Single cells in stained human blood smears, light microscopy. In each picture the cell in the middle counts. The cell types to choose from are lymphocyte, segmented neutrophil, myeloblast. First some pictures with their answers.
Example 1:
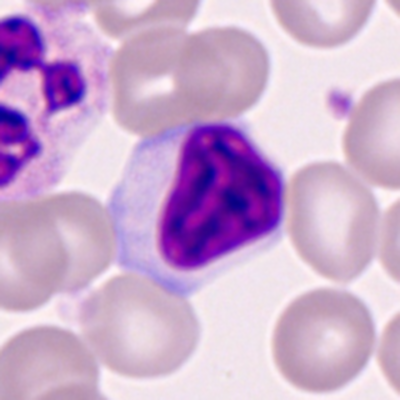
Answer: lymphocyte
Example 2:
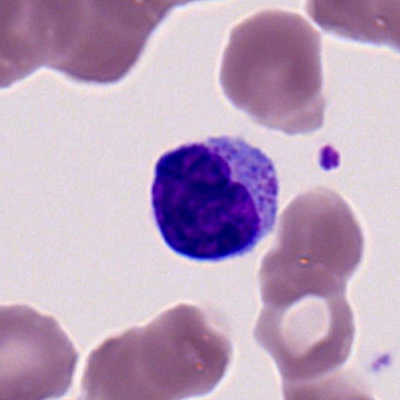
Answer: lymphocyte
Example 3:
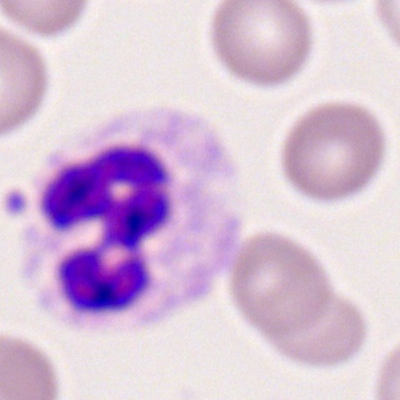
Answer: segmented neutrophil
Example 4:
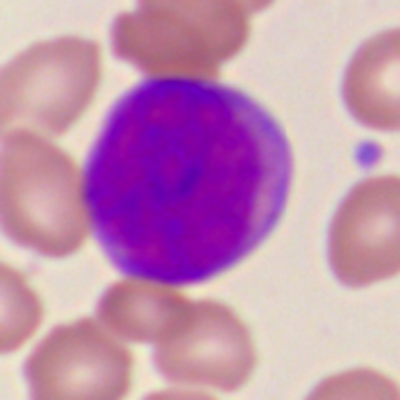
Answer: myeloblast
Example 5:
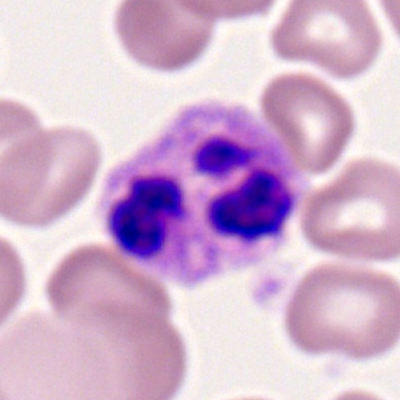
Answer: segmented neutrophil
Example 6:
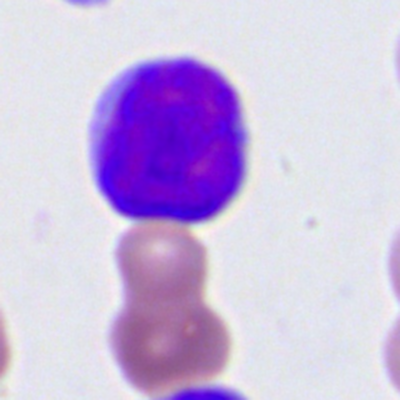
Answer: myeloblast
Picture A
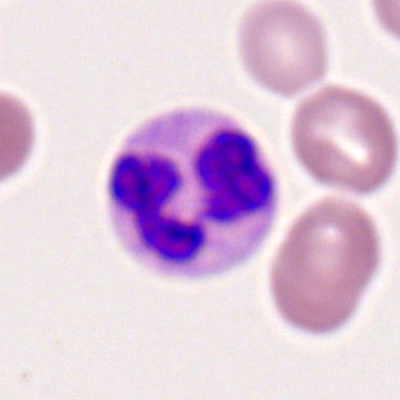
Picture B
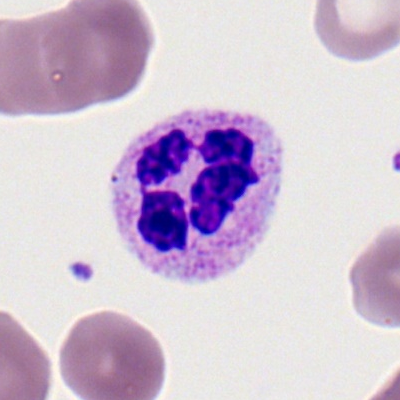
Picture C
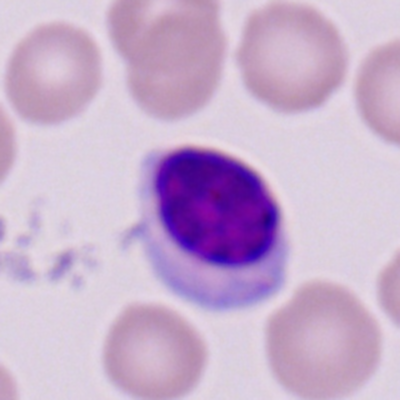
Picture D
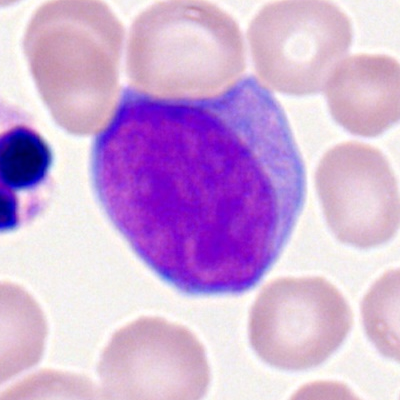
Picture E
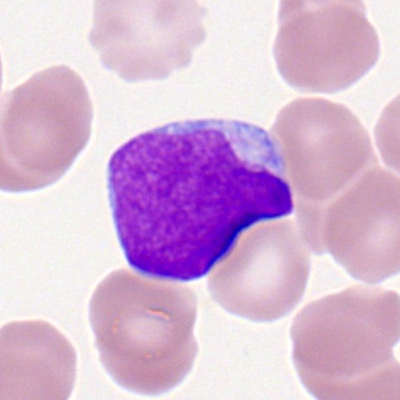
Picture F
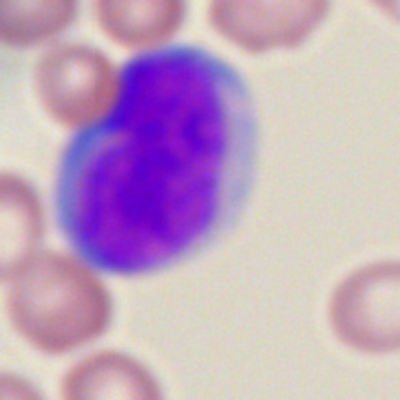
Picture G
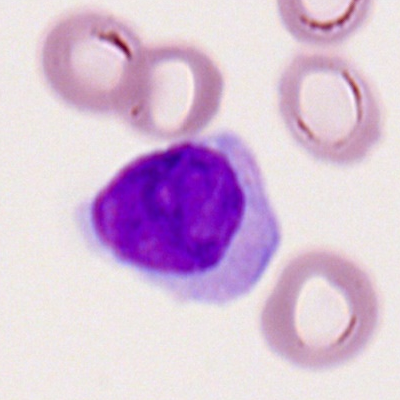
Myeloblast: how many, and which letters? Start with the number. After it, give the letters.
3, namely D, E, F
